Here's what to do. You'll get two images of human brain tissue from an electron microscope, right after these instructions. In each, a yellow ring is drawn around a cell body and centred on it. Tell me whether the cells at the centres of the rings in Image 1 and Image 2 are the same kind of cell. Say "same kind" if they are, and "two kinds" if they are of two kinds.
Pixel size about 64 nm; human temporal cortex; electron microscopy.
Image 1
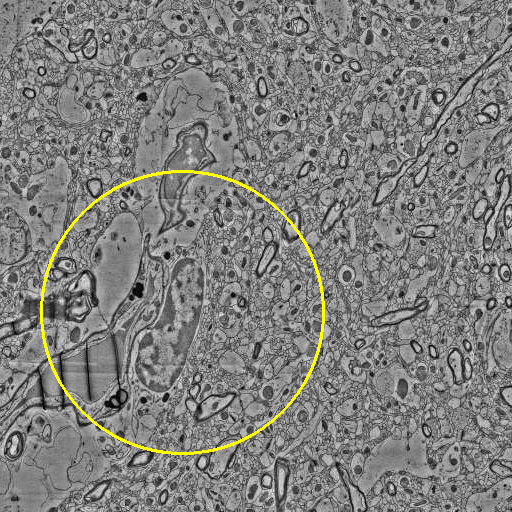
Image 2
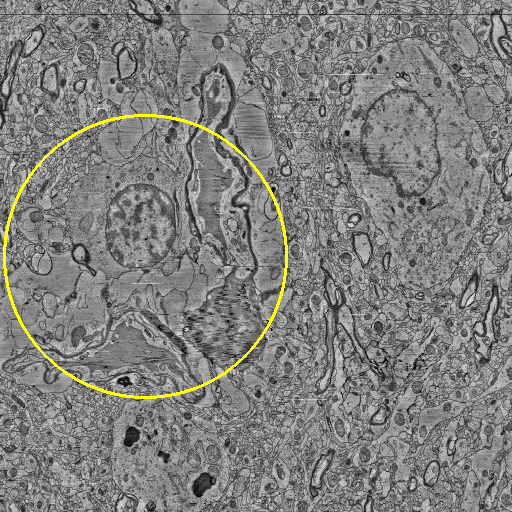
two kinds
